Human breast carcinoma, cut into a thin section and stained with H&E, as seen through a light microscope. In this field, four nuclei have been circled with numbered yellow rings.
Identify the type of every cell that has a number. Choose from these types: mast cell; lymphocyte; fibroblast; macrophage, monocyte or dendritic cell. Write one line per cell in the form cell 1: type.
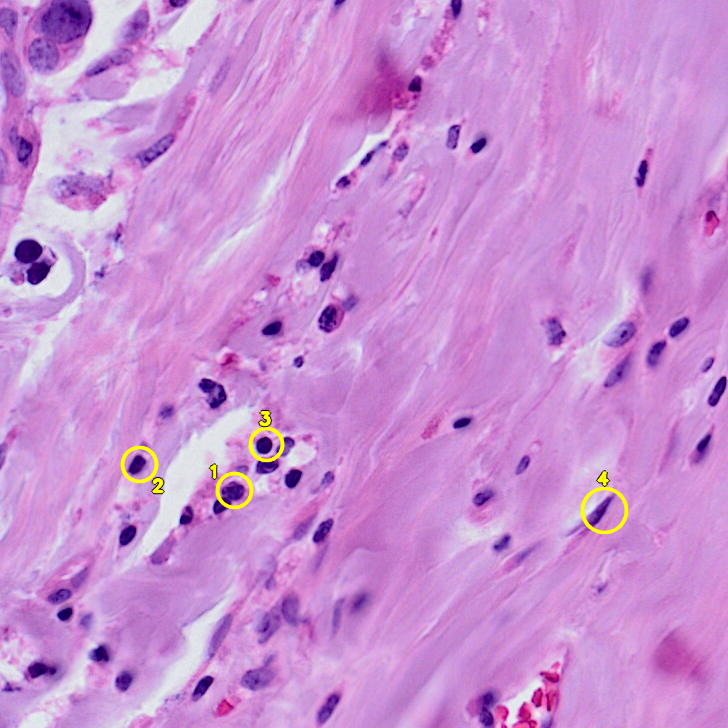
cell 1: lymphocyte
cell 2: lymphocyte
cell 3: lymphocyte
cell 4: fibroblast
